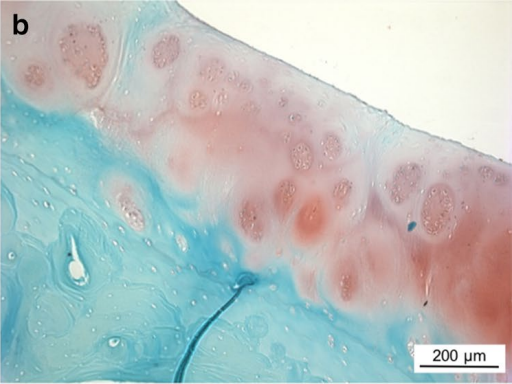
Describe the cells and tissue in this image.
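This is articular cartilage in which the chondrocytes are gathered into rounded clusters, each holding several small cells in their lacunae. Toward the lower left the matrix shifts to blue-green, and the underlying tissue shows scattered small lacunae in a blue-green background. A dark line runs through the deeper tissue.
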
